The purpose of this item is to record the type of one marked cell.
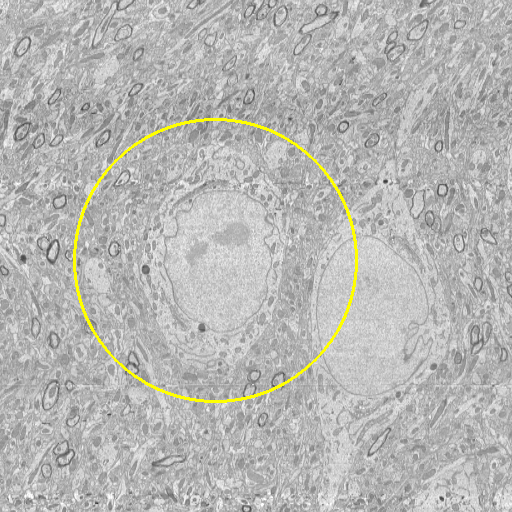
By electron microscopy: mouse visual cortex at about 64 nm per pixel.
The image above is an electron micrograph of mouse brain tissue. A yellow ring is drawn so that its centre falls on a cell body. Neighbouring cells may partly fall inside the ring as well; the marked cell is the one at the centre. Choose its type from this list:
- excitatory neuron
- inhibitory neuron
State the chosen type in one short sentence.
What the ring marks here is an inhibitory neuron.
